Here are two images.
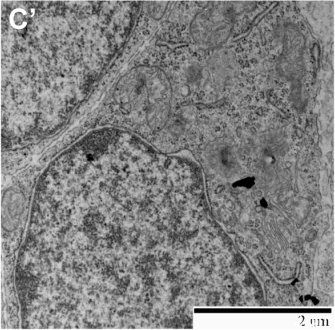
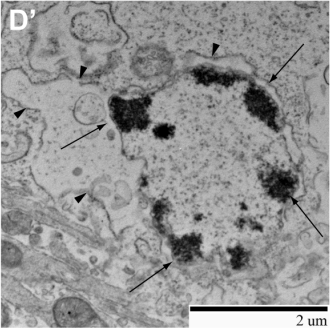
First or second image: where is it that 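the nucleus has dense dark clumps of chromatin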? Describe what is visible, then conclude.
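First image: the nucleus has evenly dispersed fine granular chromatin with a smooth envelope. Second image: the nucleus holds several large black chromatin masses at its rim.
Answer: the second image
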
